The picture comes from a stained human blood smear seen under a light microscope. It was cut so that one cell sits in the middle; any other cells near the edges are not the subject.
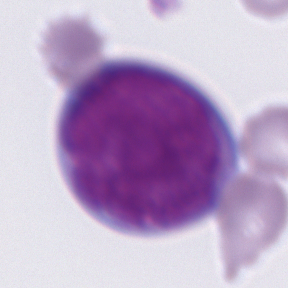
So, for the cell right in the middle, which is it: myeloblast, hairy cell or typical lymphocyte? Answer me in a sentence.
Positioned in the middle of the crop is a myeloblast.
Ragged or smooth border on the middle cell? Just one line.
Happy to help: the outline is smooth and shows no projections.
